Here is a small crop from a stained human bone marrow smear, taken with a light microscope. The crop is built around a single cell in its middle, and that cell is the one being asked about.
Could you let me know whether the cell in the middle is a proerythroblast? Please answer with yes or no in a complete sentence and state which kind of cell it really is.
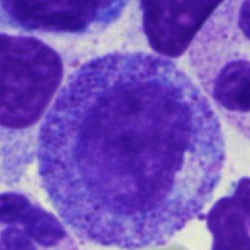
No, the identification should read a promyelocyte, not a proerythroblast, for the central cell.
